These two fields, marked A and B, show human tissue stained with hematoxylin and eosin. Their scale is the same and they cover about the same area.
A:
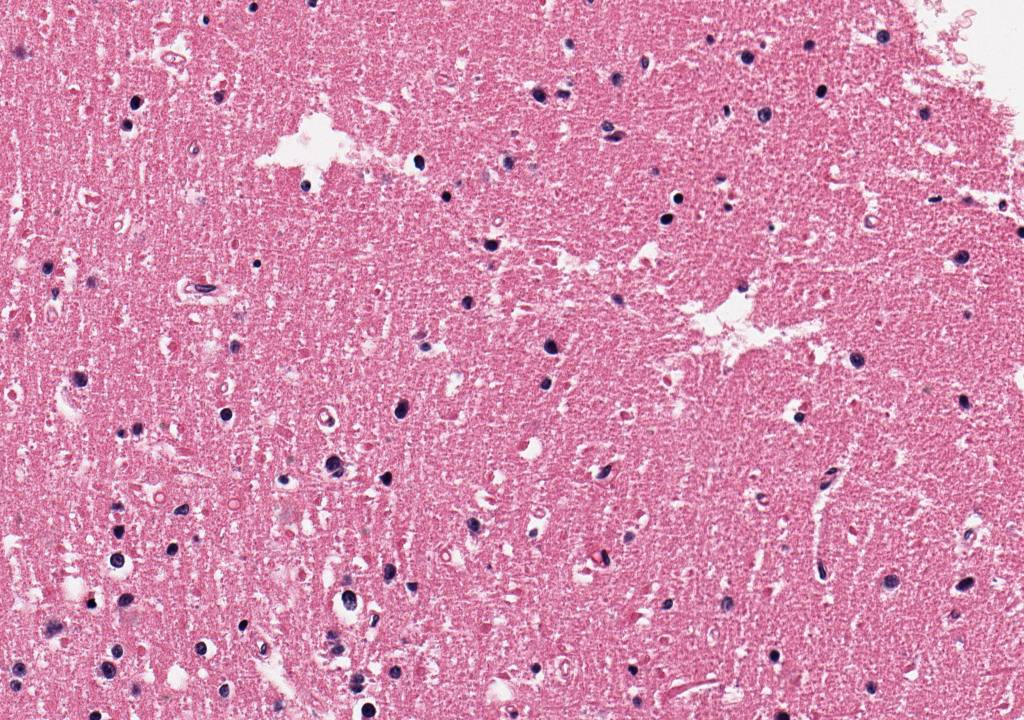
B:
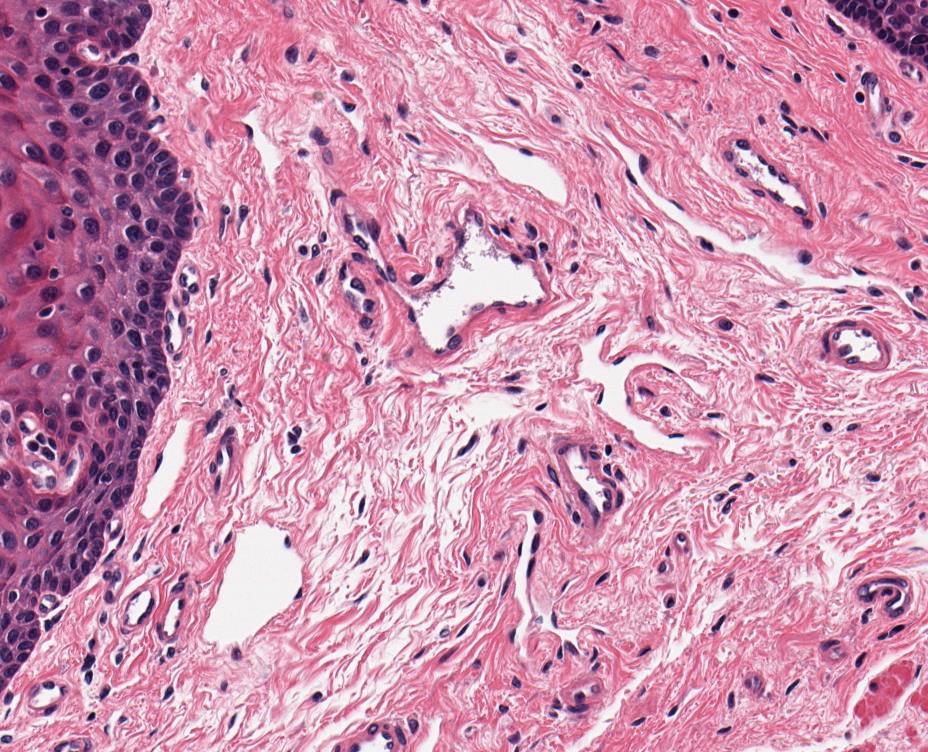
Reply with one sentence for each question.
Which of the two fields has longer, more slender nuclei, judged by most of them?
On the whole the nuclei of picture B are more drawn out than those of picture A.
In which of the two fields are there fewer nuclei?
It is picture A that has fewer nuclei in it.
